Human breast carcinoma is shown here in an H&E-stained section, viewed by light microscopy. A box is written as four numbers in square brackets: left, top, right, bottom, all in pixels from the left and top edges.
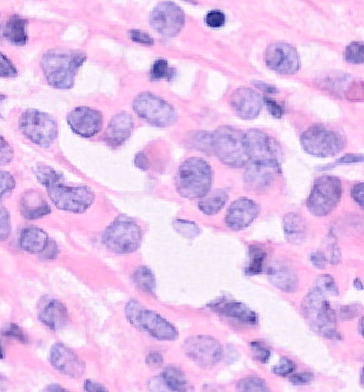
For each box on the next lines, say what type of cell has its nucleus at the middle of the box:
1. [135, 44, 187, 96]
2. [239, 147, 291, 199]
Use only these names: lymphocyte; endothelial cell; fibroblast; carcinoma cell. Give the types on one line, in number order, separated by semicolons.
lymphocyte; carcinoma cell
